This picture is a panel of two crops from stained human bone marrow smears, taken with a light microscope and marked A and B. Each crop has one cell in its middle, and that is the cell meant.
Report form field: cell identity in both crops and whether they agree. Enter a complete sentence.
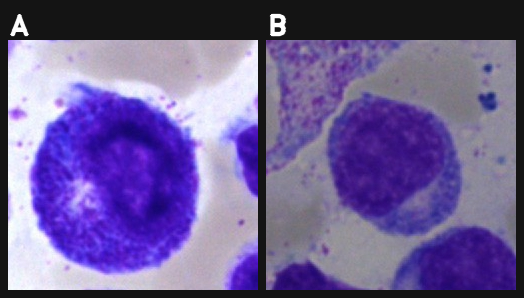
No, the assignment should read crop A, a promyelocyte; crop B, a myelocyte.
